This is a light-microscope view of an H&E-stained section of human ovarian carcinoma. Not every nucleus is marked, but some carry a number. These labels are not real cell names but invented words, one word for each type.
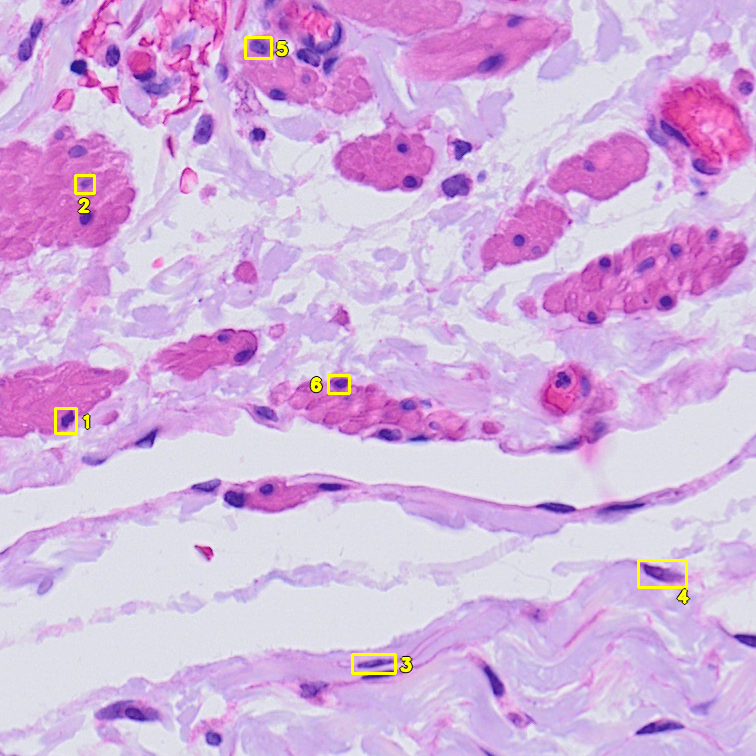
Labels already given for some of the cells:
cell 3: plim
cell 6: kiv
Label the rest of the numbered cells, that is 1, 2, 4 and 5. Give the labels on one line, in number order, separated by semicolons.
kiv; kiv; plim; kiv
